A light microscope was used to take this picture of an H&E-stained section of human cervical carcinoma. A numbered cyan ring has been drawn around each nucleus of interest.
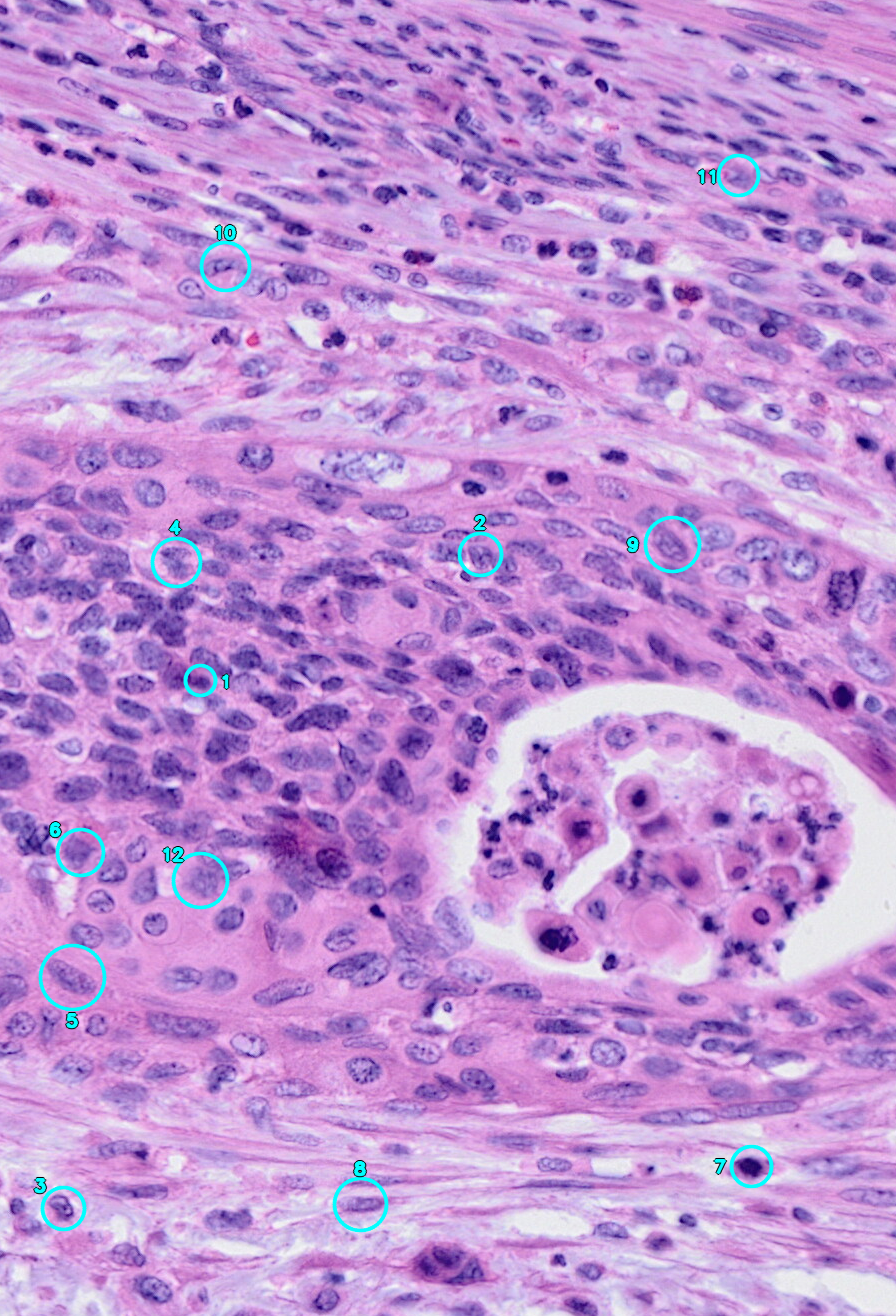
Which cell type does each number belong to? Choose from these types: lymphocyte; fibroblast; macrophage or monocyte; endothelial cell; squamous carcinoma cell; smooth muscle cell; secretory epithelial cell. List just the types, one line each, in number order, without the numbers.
squamous carcinoma cell
squamous carcinoma cell
macrophage or monocyte
squamous carcinoma cell
squamous carcinoma cell
squamous carcinoma cell
lymphocyte
fibroblast
squamous carcinoma cell
endothelial cell
endothelial cell
squamous carcinoma cell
